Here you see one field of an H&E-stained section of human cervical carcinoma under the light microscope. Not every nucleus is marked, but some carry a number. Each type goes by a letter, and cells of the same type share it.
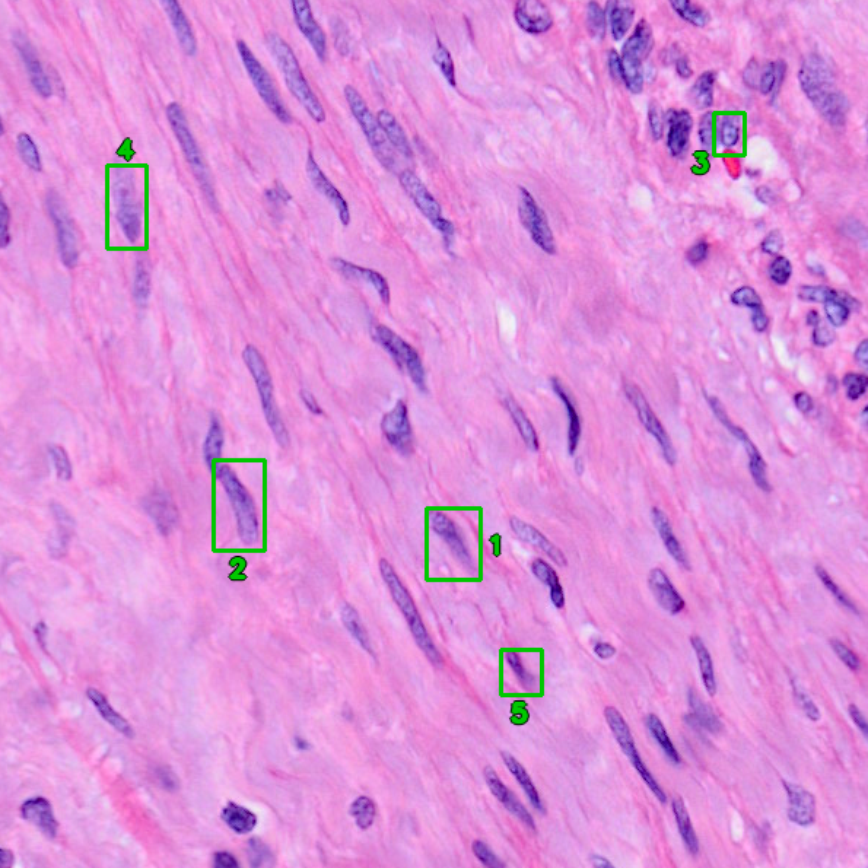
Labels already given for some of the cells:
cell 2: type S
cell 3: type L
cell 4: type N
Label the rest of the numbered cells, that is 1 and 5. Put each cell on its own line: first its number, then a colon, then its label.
1: type N
5: type N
